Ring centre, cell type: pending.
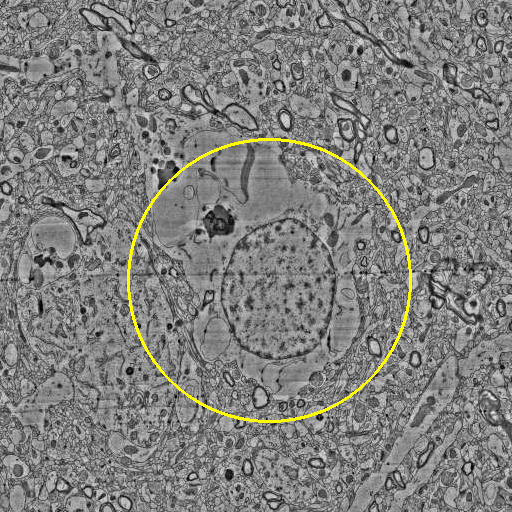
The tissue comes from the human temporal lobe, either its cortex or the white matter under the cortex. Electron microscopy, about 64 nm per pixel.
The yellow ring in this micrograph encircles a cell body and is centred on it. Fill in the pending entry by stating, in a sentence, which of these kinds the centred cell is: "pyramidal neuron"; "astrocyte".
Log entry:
The centred cell is recorded as an astrocyte.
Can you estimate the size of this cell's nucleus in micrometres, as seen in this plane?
The nucleus is approximately 9 micrometers long by 7 micrometers wide in this plane.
